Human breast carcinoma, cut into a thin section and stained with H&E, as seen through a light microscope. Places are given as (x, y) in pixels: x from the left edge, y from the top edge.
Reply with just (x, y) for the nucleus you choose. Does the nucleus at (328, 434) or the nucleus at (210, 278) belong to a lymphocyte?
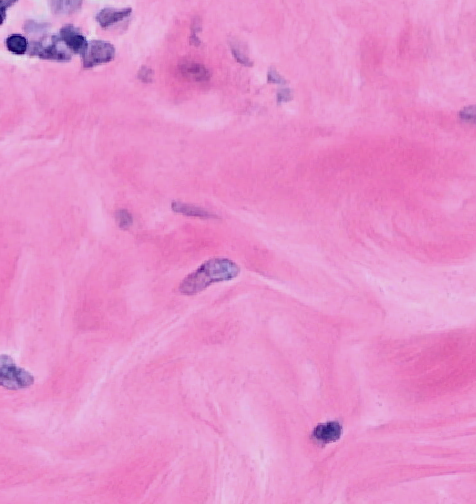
(328, 434)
